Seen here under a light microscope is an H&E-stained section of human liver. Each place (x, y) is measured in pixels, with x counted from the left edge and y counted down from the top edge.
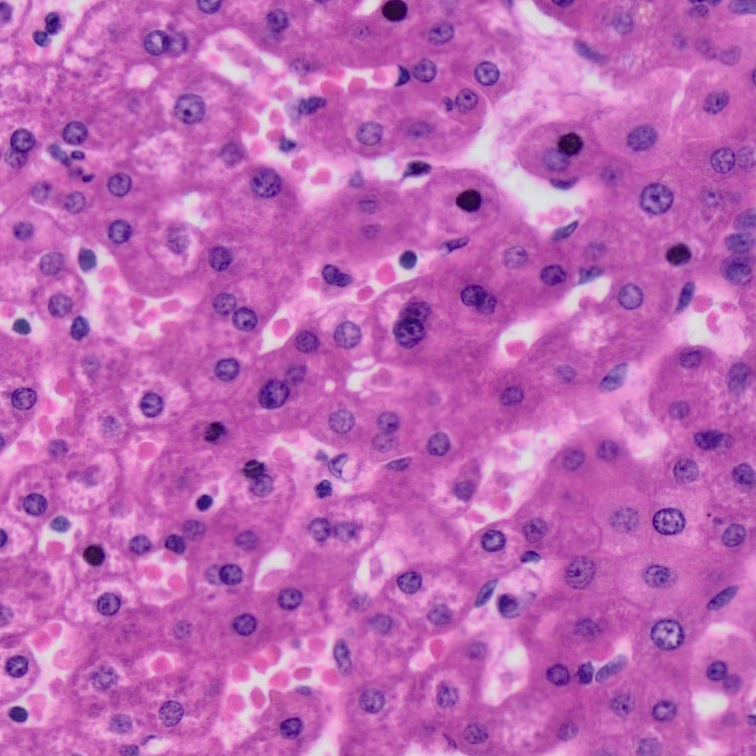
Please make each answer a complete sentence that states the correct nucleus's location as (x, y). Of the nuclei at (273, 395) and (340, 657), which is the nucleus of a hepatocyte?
Answering which nucleus it is: the one at (273, 395), belonging to a hepatocyte.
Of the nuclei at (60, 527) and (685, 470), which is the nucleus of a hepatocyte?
Among the two nuclei, the one found at (685, 470) belongs to a hepatocyte.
